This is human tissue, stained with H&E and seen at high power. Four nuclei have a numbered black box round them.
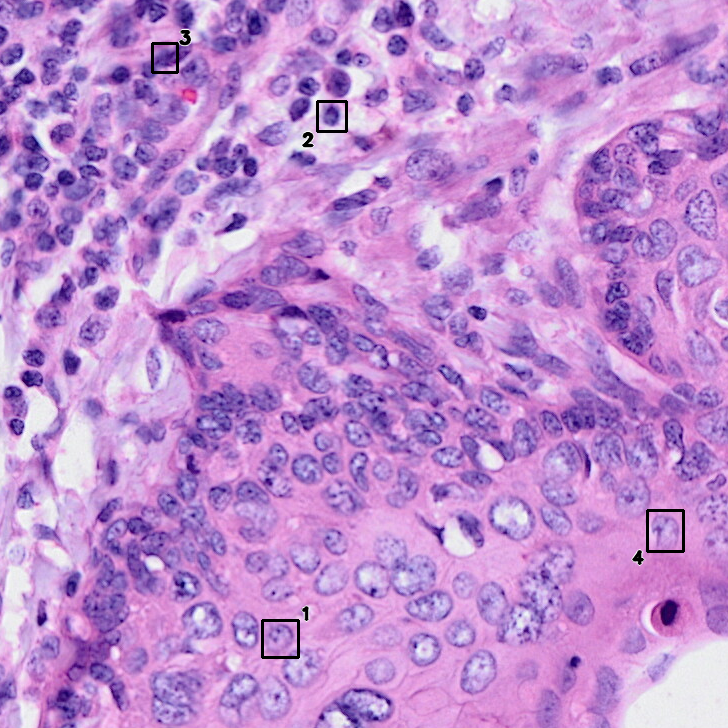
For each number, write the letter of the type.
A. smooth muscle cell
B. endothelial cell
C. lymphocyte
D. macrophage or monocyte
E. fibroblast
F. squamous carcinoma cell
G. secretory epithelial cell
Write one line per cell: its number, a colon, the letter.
1: F
2: C
3: C
4: F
